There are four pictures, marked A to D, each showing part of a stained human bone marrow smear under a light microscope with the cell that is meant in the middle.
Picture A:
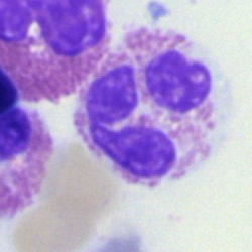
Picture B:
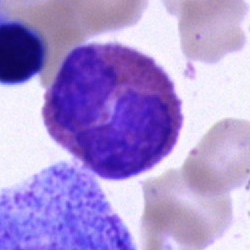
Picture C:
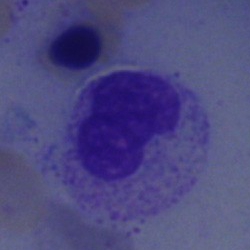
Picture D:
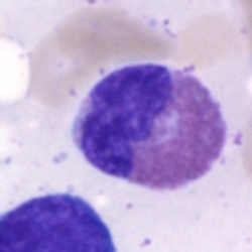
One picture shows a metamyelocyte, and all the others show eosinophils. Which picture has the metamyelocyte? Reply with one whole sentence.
It is picture C that shows the metamyelocyte.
